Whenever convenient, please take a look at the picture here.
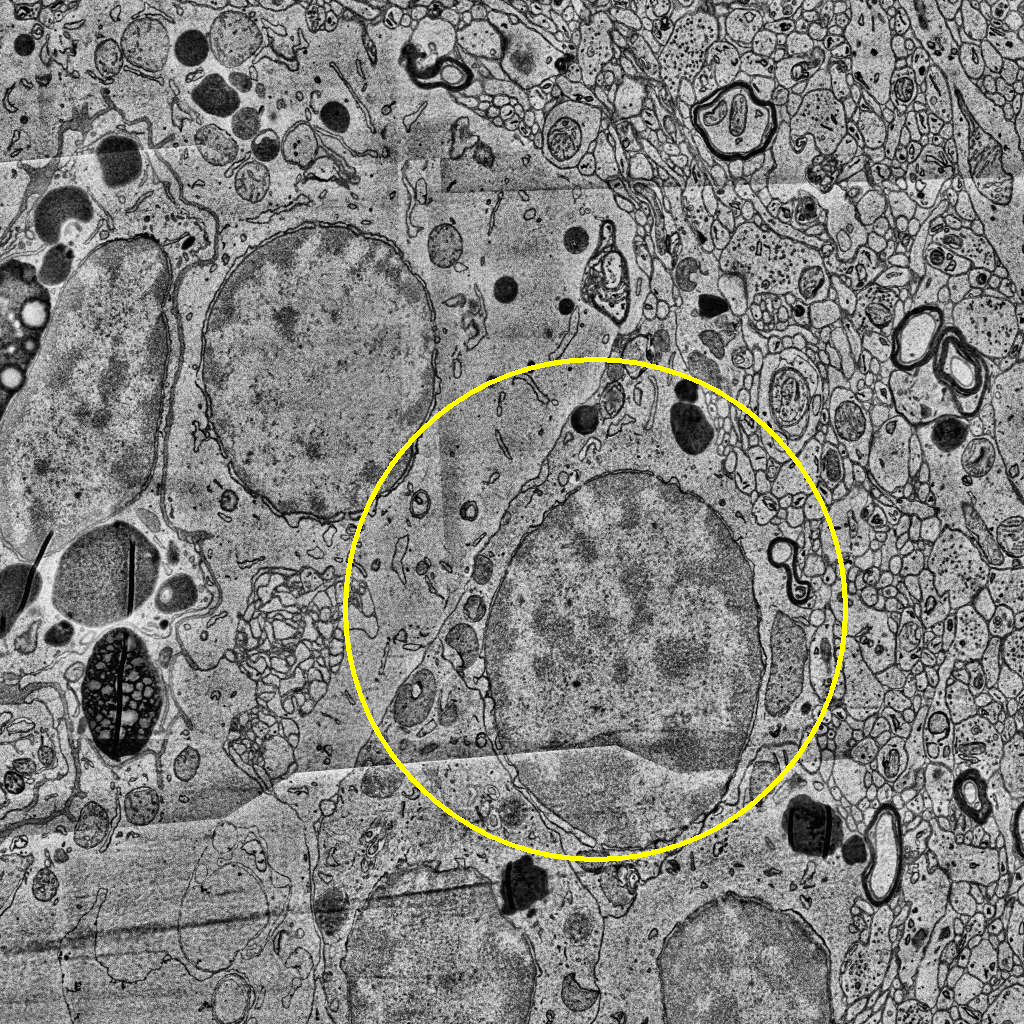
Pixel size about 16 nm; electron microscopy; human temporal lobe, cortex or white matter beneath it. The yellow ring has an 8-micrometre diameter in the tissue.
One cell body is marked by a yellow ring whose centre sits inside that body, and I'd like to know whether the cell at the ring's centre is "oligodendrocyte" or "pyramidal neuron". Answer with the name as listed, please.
oligodendrocyte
